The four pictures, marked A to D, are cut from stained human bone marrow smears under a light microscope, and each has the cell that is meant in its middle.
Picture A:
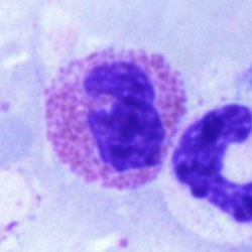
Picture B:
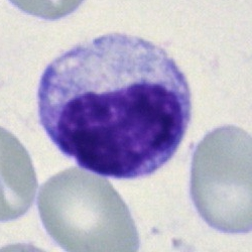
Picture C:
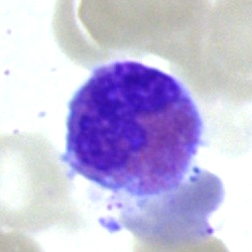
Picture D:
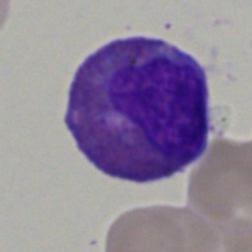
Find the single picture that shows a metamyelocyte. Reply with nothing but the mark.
B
